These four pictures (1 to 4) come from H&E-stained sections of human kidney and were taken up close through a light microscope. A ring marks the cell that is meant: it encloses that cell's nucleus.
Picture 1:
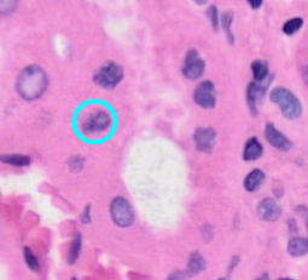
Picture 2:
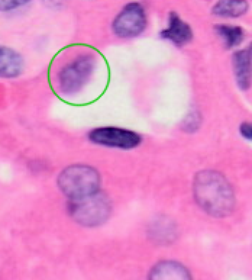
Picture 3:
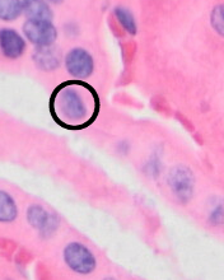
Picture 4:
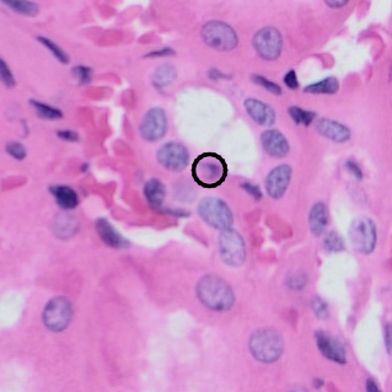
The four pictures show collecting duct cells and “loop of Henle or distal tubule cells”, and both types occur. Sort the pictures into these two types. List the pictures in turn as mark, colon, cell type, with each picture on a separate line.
1: loop of Henle or distal tubule cell
2: loop of Henle or distal tubule cell
3: collecting duct cell
4: collecting duct cell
